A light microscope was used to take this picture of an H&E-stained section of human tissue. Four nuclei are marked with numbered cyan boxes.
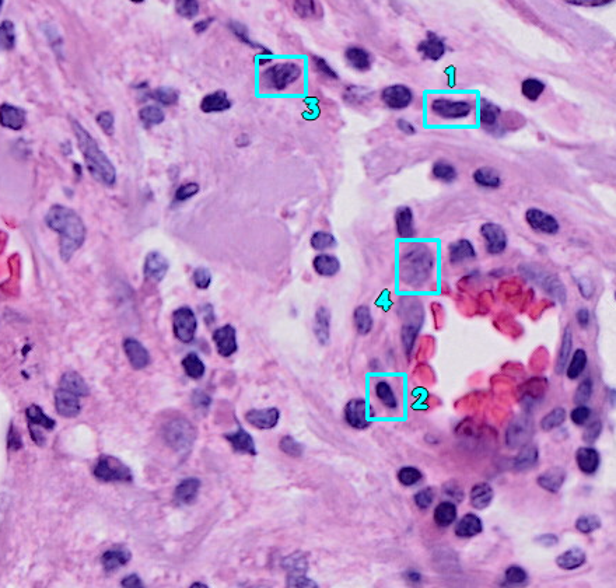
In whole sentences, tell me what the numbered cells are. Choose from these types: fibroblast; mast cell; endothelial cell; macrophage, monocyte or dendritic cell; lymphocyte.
Cell 1 is a lymphocyte, cell 2 is a lymphocyte, cell 3 is a lymphocyte and cell 4 is an endothelial cell.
